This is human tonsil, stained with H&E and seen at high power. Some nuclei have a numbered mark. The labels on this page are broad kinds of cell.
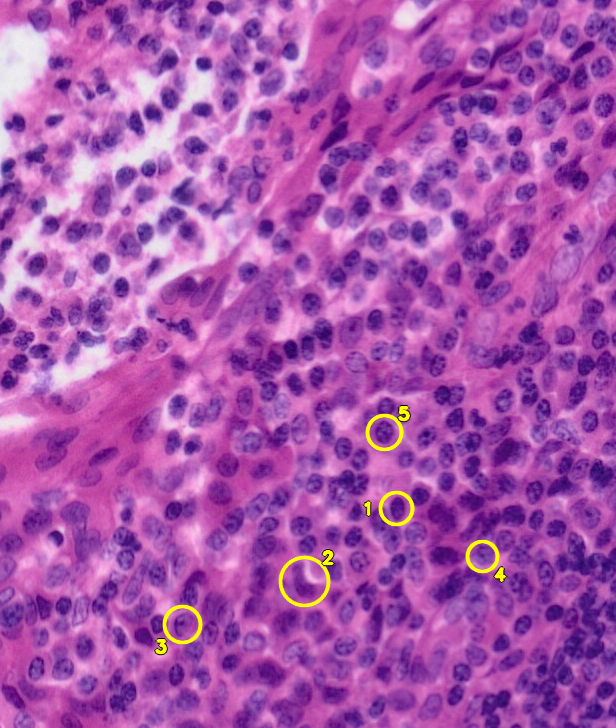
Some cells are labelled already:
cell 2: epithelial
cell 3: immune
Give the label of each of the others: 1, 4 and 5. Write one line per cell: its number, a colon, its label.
1: immune
4: epithelial
5: immune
